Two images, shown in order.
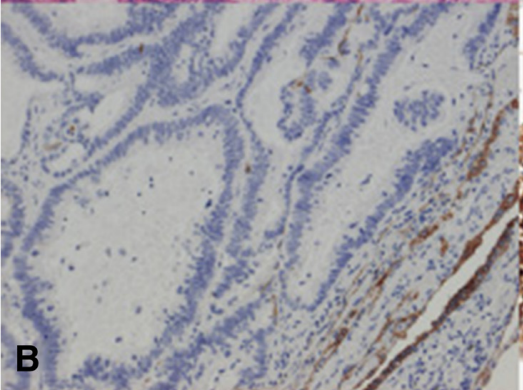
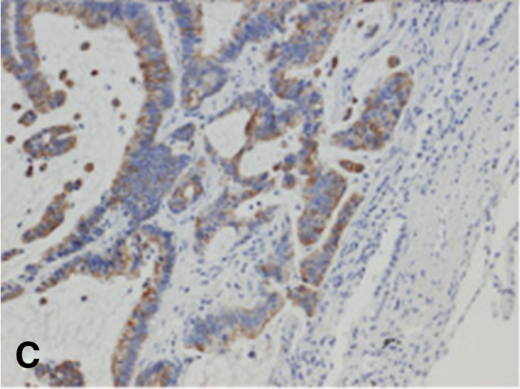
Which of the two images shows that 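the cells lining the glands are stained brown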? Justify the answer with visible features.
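Second image: the gland-lining cells carry brown stain in their cytoplasm. First image: the gland-lining cells are blue, only strands in the stroma are brown. That points to this answer: the second image.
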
